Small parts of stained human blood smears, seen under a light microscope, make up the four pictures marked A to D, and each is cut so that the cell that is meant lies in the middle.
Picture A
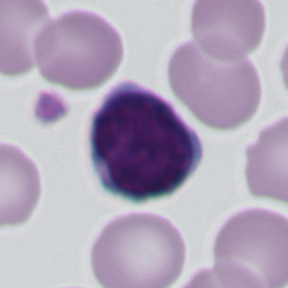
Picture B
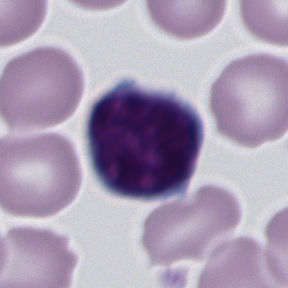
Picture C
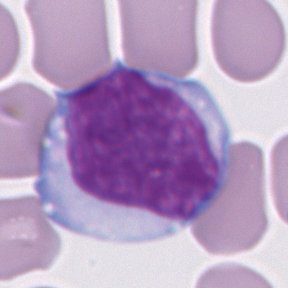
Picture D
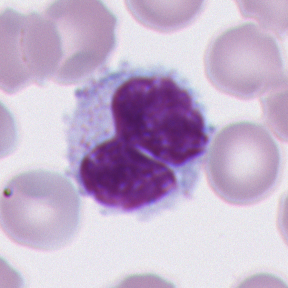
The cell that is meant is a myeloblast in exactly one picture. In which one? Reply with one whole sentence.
The cell in picture C is the myeloblast.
